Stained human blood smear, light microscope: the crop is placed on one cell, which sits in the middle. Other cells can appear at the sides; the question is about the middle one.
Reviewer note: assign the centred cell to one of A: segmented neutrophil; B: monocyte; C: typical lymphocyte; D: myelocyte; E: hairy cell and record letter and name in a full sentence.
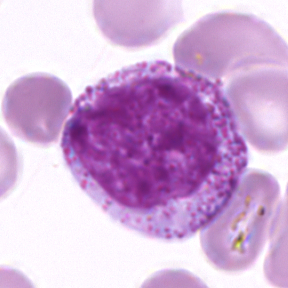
Option D is the correct option, with the middle cell being a myelocyte.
